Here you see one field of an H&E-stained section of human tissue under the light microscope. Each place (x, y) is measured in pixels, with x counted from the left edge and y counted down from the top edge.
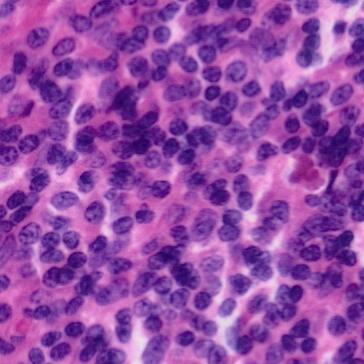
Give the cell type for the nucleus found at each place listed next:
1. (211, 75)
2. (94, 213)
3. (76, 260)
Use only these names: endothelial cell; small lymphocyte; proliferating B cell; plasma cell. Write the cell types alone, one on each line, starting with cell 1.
small lymphocyte
plasma cell
small lymphocyte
